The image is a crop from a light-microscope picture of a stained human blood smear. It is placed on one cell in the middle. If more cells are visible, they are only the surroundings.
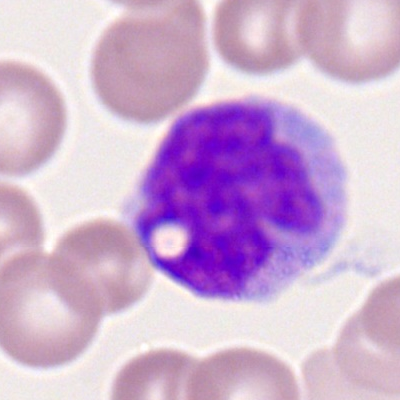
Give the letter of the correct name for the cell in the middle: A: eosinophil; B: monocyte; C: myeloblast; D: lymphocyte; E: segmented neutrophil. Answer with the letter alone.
B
